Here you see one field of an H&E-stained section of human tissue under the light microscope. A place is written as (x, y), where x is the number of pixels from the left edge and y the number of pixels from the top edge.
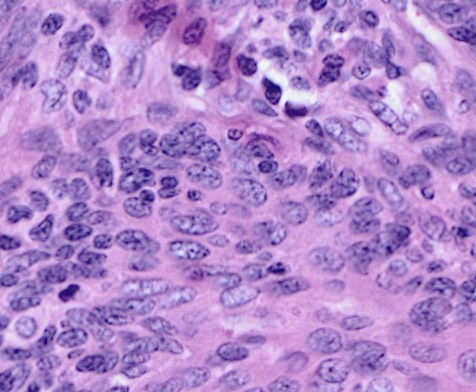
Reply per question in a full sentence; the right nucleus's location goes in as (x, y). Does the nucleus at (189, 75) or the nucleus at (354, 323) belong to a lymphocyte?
The nucleus at (189, 75) is the one of the two that belongs to a lymphocyte.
